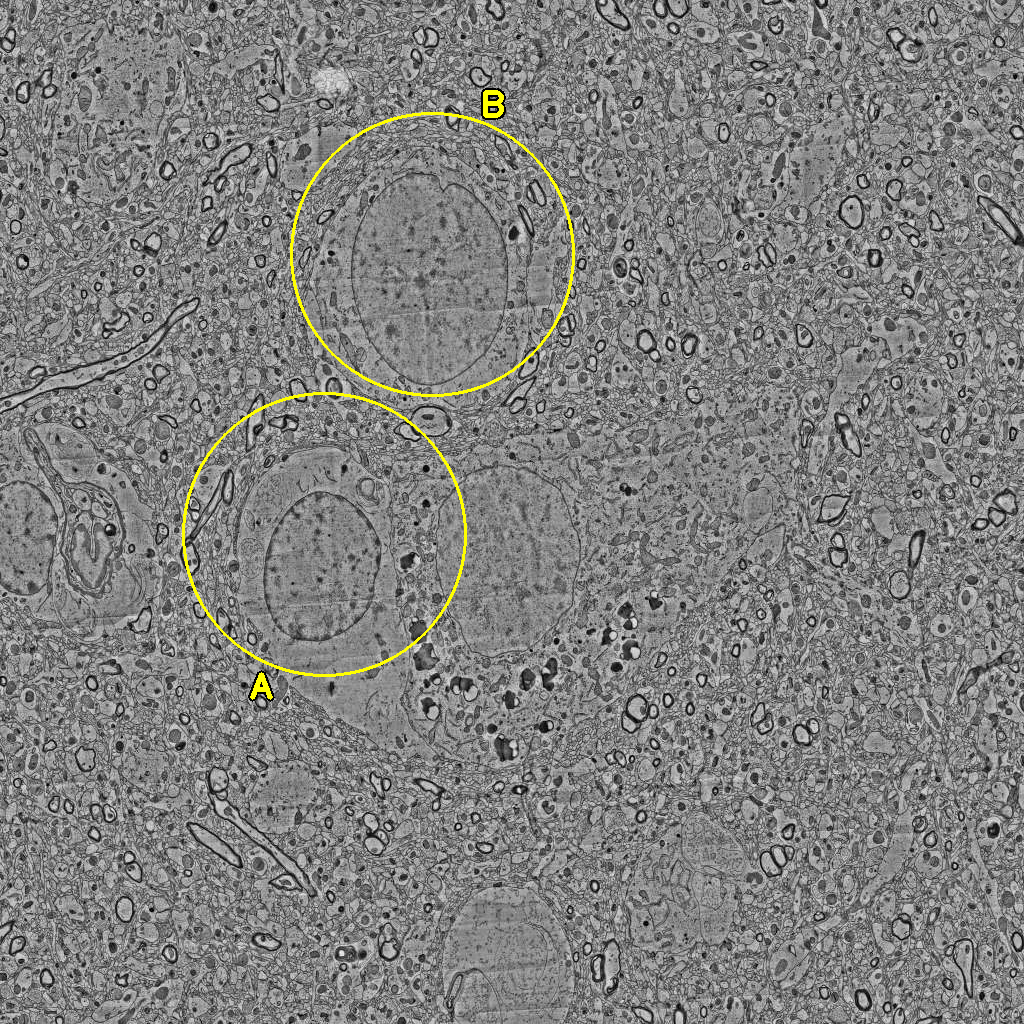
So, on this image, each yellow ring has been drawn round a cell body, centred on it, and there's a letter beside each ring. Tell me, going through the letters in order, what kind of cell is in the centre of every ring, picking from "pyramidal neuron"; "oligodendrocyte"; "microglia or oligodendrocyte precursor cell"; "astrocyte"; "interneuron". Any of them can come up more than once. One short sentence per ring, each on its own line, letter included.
Ring A has been drawn round an astrocyte.
Ring B has been drawn round a pyramidal neuron.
